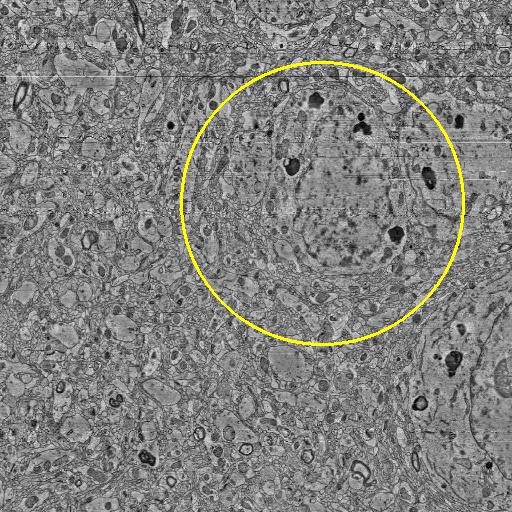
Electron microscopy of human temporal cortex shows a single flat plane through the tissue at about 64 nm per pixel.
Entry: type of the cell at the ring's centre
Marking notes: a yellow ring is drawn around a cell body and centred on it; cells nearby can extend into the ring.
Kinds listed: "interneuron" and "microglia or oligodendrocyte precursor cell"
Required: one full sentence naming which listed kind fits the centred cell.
My entry names an interneuron as the cell whose body the yellow ring centres on.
